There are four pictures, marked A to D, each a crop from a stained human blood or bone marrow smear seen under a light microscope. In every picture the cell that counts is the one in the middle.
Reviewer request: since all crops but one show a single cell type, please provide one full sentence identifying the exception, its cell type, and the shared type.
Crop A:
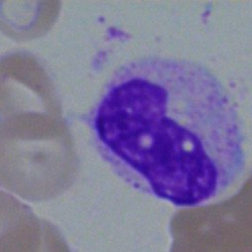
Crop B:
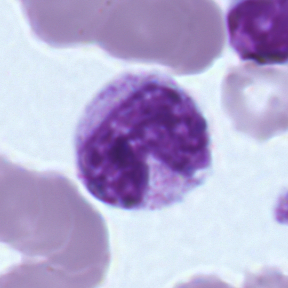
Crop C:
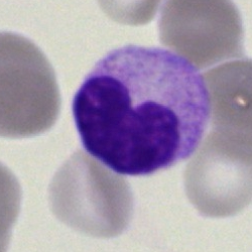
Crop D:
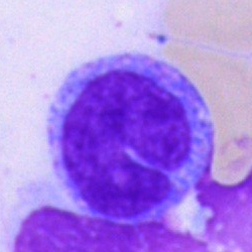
Crop D is the odd one out, being a monocyte, while all the other crops show metamyelocytes.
